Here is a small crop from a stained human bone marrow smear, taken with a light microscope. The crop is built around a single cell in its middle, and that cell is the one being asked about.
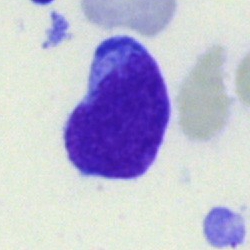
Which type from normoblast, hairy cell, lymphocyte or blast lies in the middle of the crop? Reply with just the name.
blast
